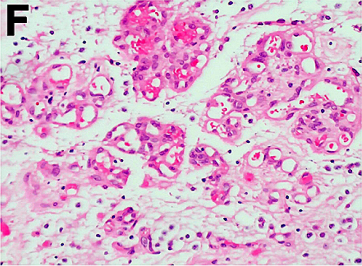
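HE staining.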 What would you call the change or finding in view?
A: Microvascular proliferation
